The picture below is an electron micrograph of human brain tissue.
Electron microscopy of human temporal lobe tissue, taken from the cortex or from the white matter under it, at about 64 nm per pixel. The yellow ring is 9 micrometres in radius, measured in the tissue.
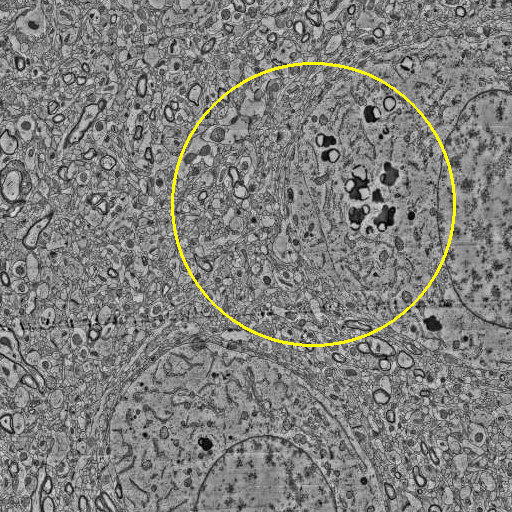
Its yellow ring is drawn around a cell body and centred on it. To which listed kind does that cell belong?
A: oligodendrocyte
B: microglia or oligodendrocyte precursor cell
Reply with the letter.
B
